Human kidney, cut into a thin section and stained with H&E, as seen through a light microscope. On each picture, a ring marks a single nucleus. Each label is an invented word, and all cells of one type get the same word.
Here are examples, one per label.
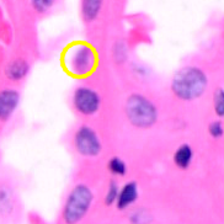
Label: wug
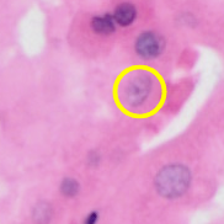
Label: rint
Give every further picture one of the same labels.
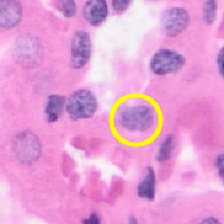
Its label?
wug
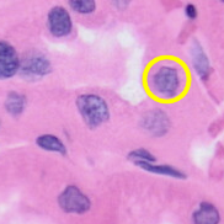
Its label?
wug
